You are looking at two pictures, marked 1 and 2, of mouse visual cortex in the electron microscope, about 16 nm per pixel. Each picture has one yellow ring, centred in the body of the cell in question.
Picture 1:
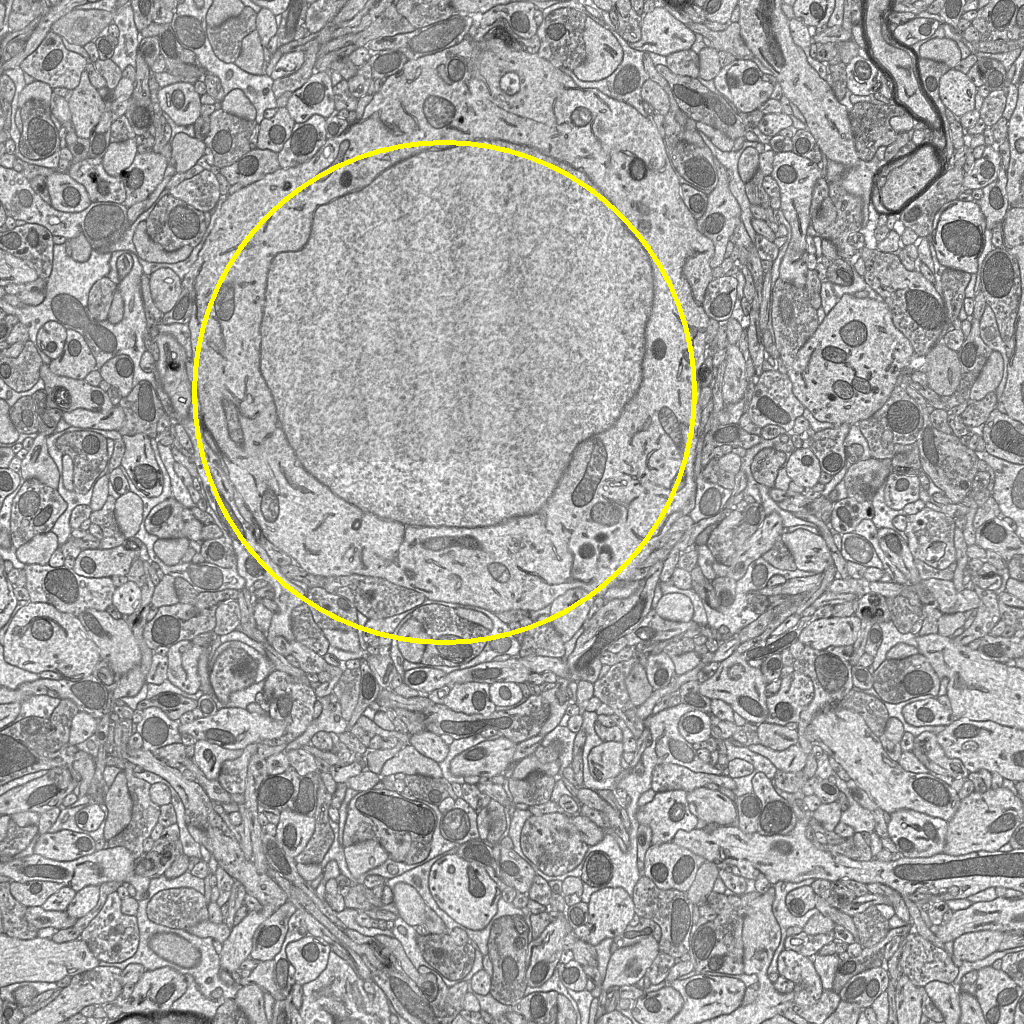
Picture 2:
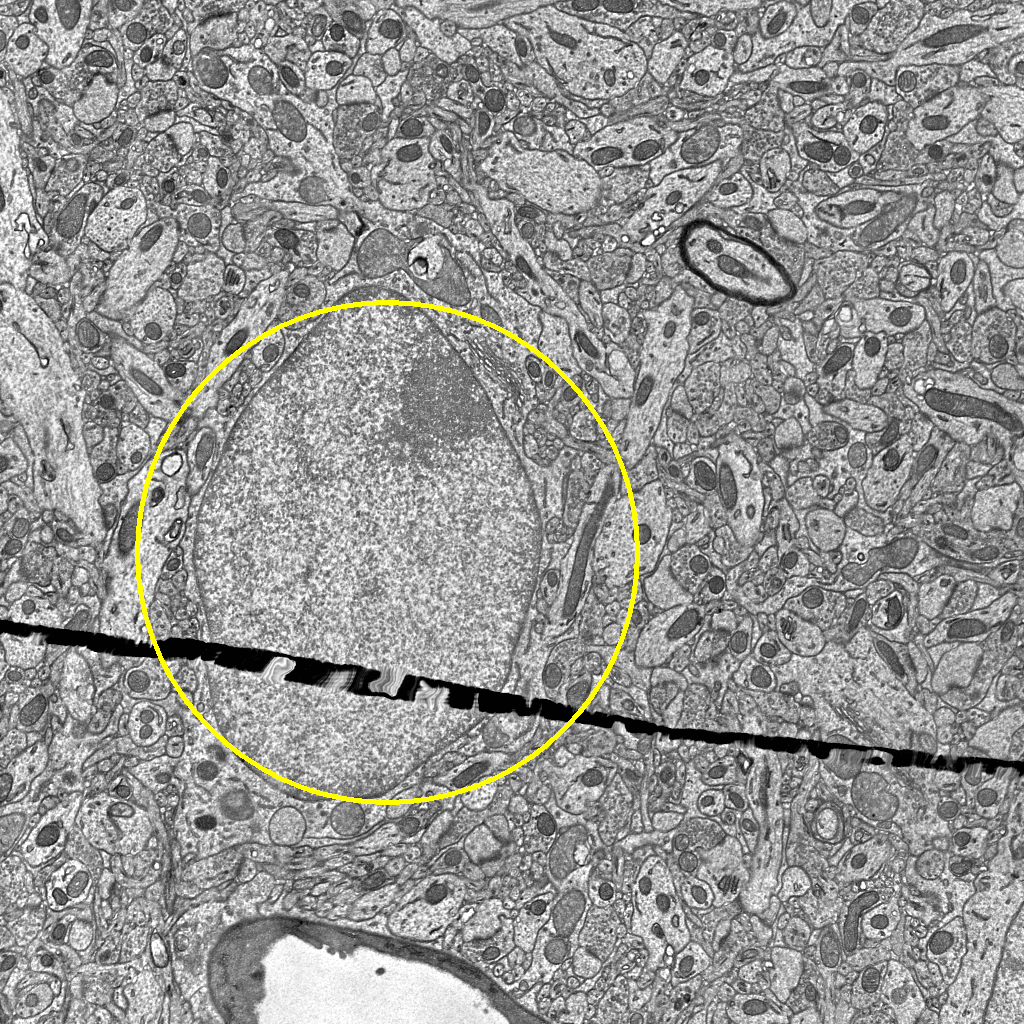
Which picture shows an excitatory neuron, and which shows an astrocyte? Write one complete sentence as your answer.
Picture 1 is of an excitatory neuron, and picture 2 is of an astrocyte.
